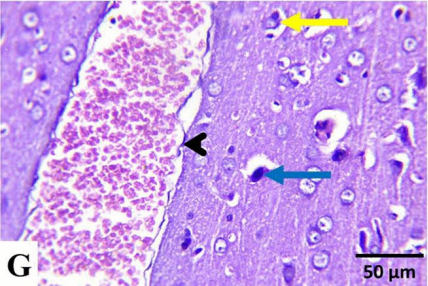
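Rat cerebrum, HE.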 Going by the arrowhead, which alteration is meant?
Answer: Vascular congestion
